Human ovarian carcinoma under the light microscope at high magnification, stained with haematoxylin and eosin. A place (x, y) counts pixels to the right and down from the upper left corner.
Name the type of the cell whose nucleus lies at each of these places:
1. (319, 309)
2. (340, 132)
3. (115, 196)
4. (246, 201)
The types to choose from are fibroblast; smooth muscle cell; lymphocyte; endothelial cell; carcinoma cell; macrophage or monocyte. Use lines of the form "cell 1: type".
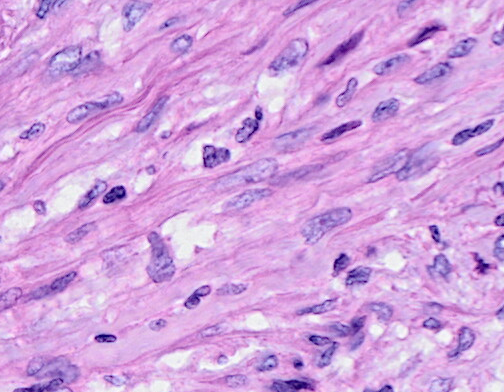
cell 1: fibroblast
cell 2: fibroblast
cell 3: lymphocyte
cell 4: fibroblast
